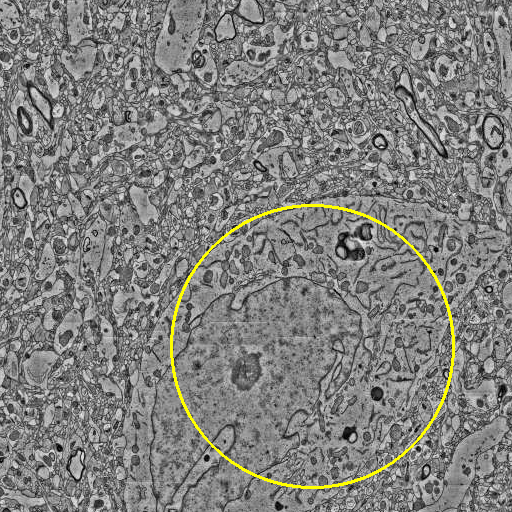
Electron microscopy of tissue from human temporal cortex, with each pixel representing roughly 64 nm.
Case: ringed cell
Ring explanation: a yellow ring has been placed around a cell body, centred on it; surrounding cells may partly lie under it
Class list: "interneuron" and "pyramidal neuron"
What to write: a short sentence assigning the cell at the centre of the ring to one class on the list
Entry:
The cell at the ring's centre is an interneuron.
